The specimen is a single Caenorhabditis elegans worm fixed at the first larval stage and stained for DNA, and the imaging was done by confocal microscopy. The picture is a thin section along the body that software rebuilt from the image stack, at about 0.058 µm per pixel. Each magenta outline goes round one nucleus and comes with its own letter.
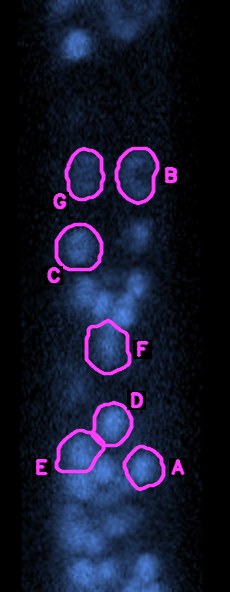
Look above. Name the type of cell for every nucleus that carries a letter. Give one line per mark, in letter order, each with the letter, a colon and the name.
A: neuron
B: intestinal cell
C: body wall muscle cell
D: neuron
E: neuron
F: pharyngeal marginal cell
G: intestinal cell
